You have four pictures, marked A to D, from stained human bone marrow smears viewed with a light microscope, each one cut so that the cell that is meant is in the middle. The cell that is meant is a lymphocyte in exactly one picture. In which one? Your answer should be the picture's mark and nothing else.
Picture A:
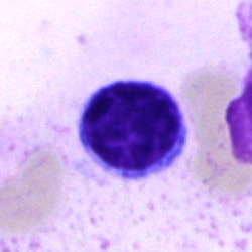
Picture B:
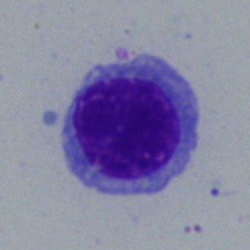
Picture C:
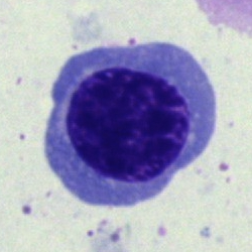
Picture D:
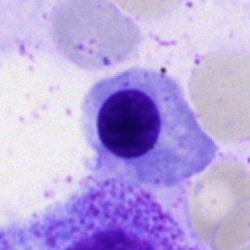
A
